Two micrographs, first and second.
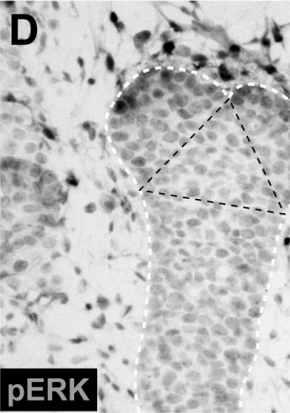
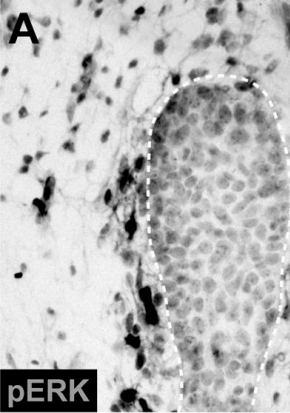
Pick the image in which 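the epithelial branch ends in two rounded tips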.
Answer: the first image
